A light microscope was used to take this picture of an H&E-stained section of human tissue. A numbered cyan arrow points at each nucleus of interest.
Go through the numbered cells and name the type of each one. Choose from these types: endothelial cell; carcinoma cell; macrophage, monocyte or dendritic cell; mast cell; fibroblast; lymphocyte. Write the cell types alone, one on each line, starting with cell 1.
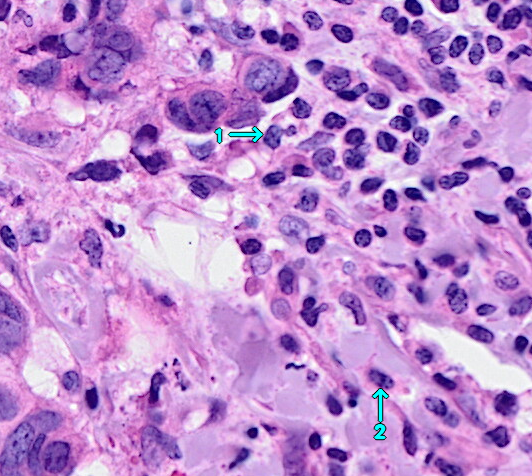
lymphocyte
mast cell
